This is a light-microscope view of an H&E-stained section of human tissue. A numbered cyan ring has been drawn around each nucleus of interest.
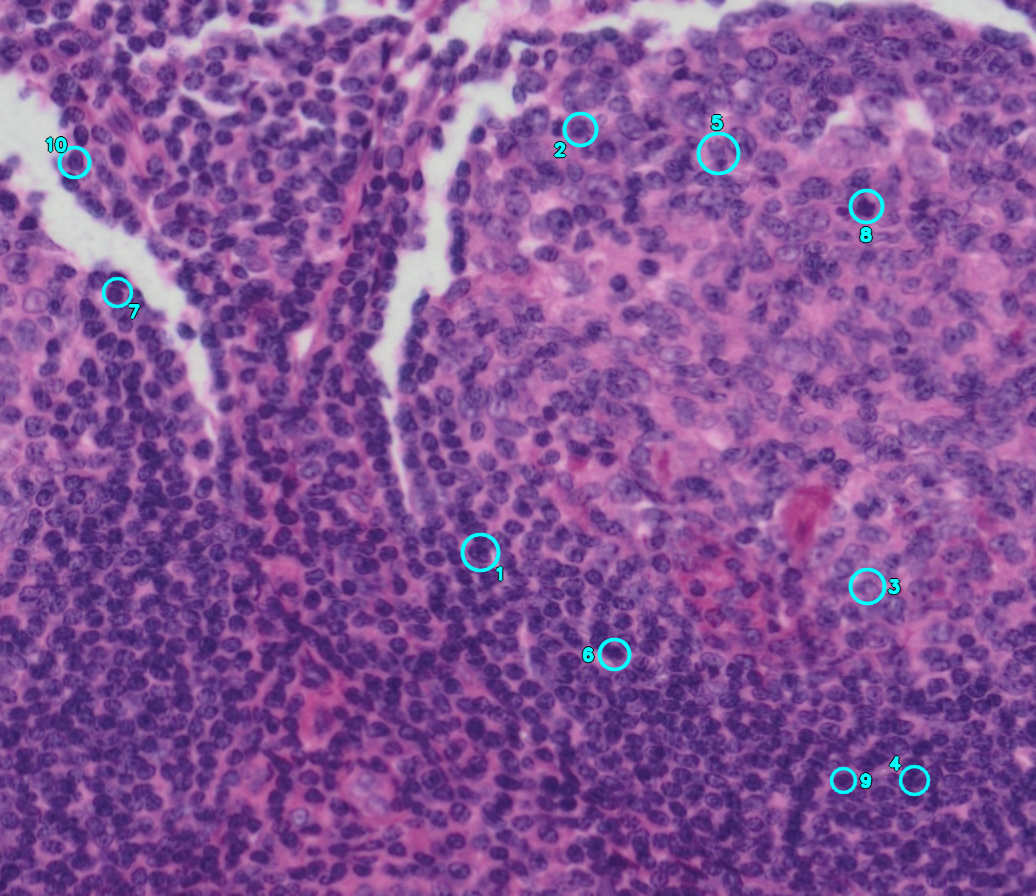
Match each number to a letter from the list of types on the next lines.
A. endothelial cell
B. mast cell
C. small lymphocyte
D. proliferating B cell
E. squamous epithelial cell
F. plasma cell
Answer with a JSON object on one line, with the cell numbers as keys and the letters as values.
{"1": "C", "2": "D", "3": "D", "4": "C", "5": "D", "6": "C", "7": "C", "8": "D", "9": "C", "10": "C"}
